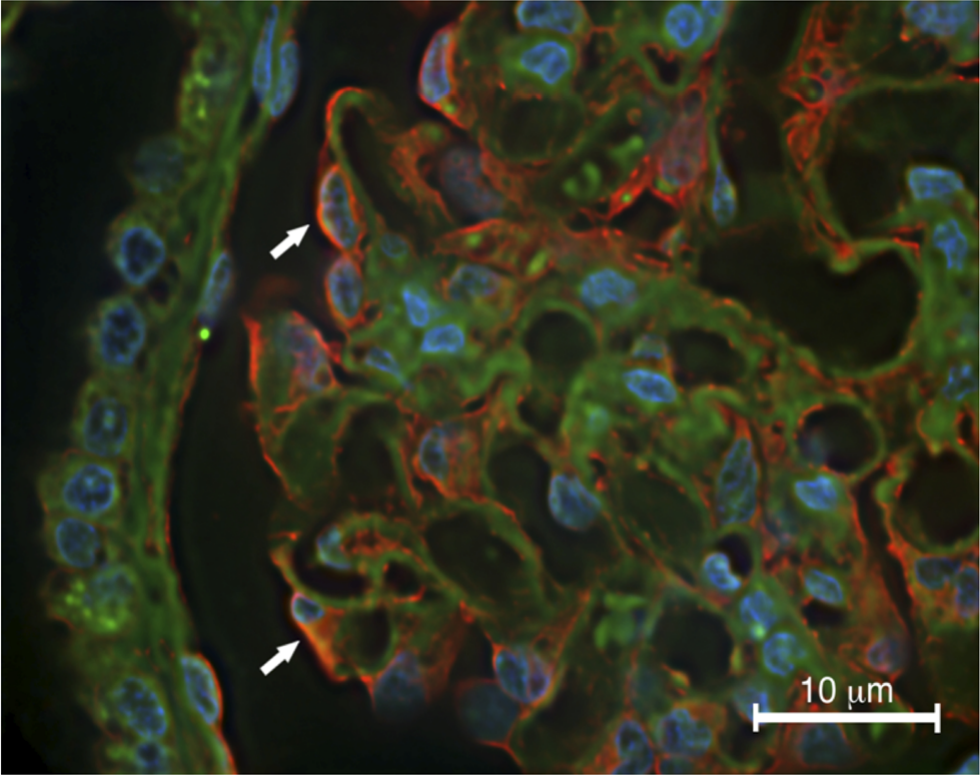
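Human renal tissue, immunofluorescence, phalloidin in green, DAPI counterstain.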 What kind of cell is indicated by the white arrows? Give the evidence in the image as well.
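The arrowed cells sit on the outer surface of the capillary loops. The arrowed cells face the dark, empty space between the tuft and the cell layer at the left. The arrowed cells have oval blue nuclei bordered by a thin red rim.
Hence: podocytes.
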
